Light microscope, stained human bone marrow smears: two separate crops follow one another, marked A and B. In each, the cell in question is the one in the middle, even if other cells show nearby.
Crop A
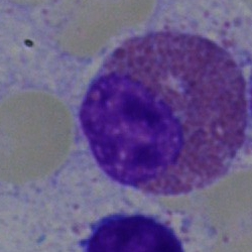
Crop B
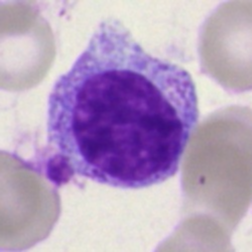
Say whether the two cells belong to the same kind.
no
